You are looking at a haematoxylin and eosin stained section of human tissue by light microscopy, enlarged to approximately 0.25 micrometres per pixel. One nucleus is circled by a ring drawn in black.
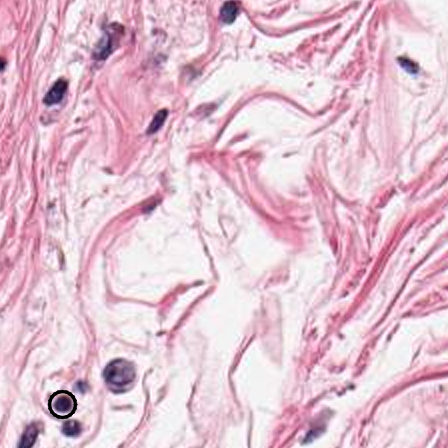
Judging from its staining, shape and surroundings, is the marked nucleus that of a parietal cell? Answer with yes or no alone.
no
